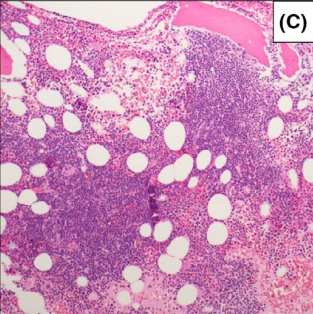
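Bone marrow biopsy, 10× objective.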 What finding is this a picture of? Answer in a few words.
Nodular lymphoid infiltrates.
